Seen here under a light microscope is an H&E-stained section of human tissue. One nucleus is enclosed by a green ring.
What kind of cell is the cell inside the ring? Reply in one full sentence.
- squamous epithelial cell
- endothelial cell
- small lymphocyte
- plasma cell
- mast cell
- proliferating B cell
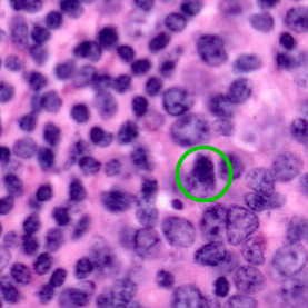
In this field of tissue, the cell inside the ring is a proliferating B cell.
